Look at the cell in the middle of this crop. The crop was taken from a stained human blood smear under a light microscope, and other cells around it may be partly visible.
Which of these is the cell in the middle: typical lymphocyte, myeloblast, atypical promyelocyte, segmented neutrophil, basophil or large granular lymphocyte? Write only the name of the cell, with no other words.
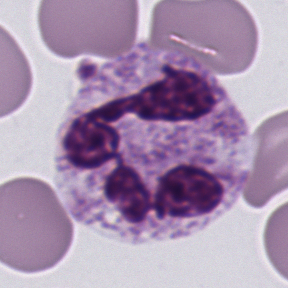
segmented neutrophil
